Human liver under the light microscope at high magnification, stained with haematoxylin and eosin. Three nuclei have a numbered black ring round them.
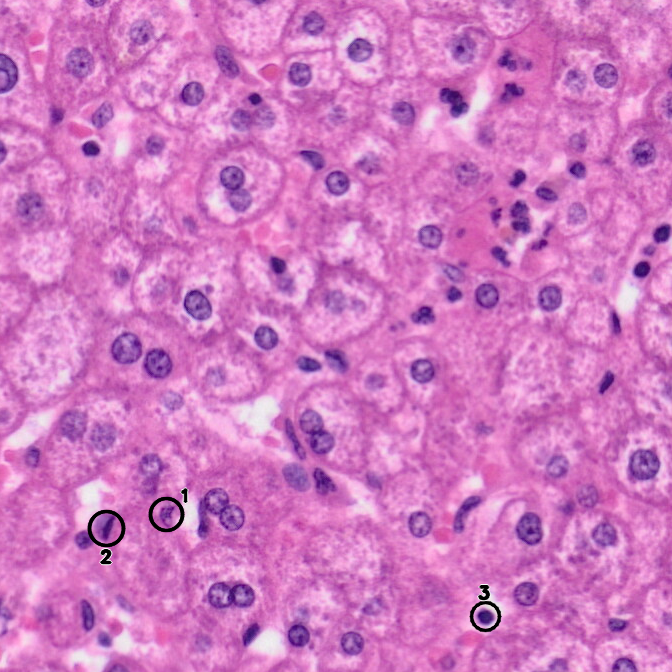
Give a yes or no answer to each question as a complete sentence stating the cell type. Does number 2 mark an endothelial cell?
Yes, number 2 marks a cell that is an endothelial cell.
